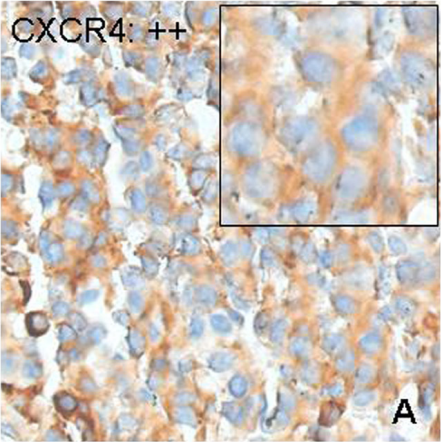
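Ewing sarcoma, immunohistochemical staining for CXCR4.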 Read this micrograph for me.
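This is a sheet of densely packed small round tumor cells with brown staining in their cytoplasm. The nuclei are round to oval, pale blue, and fairly uniform in size. Brown stain fills the narrow rims of cytoplasm around the nuclei and the spaces between neighbouring cells, while the nuclei stay blue. A few cells at the left edge are stained more darkly brown than the rest. The magnified inset in the upper right shows the brown cytoplasm surrounding unstained nuclei more clearly.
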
